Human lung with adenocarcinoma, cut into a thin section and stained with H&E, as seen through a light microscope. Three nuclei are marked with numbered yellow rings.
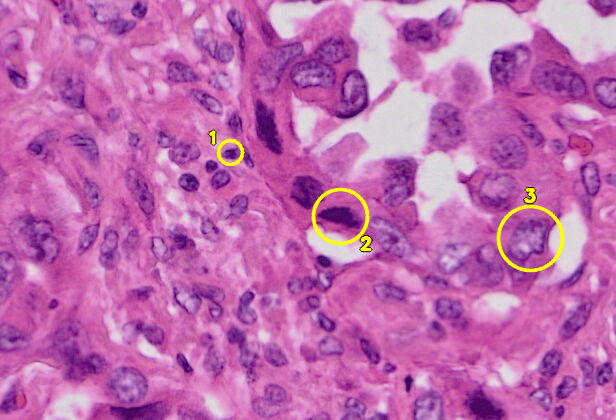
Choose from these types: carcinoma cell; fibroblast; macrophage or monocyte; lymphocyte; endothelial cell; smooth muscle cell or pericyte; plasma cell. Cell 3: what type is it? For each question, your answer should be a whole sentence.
Denoted by the label 3 in the section is a carcinoma cell.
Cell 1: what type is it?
The cell that is numbered 1 is a lymphocyte.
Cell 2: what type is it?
The cell referenced by the number 2 is a carcinoma cell in this field.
